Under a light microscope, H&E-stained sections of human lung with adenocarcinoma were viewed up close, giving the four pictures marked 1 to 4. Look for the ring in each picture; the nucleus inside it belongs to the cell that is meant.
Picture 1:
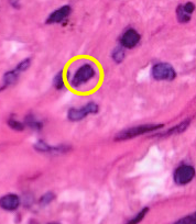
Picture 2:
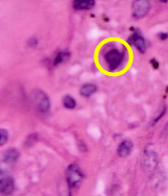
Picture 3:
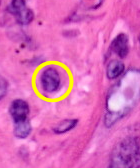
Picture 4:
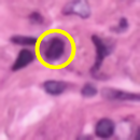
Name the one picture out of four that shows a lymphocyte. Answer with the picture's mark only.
1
